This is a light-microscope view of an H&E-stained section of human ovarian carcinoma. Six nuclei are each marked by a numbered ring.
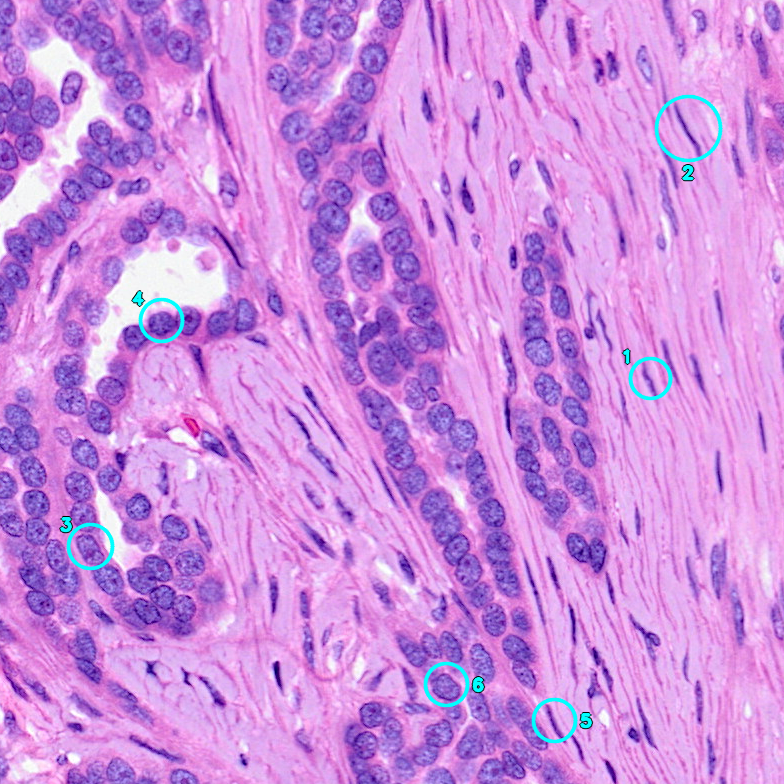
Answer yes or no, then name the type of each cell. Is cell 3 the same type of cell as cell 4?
Yes, among the marked cells, numbers 3 and 4 are both carcinoma cells.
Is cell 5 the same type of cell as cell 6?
No, cell 5 is to be identified as a fibroblast and cell 6 as a carcinoma cell.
